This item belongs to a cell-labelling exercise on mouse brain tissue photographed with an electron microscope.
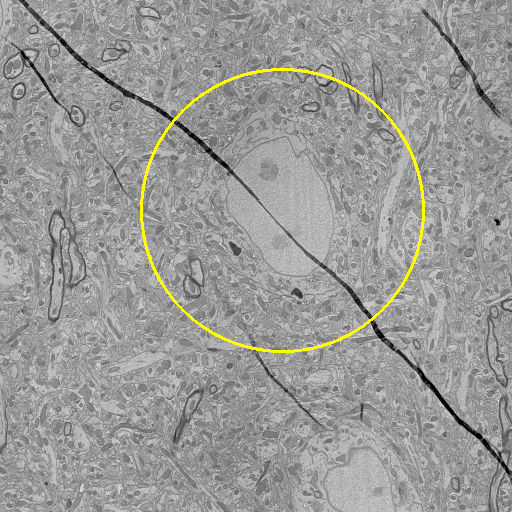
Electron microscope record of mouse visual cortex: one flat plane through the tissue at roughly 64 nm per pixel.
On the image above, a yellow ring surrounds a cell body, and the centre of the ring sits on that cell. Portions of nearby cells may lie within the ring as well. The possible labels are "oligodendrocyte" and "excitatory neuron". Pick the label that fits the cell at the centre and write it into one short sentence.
This cell should be labelled as an excitatory neuron.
